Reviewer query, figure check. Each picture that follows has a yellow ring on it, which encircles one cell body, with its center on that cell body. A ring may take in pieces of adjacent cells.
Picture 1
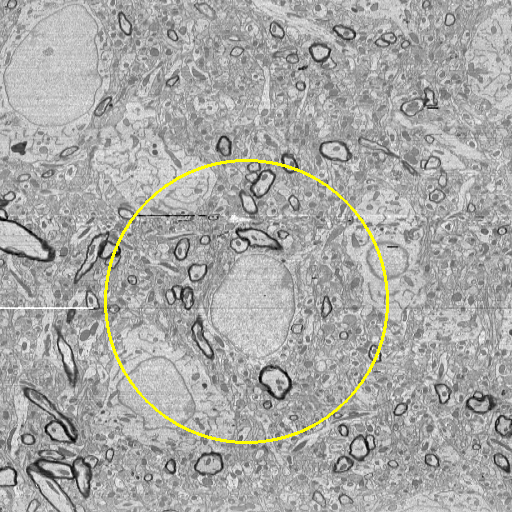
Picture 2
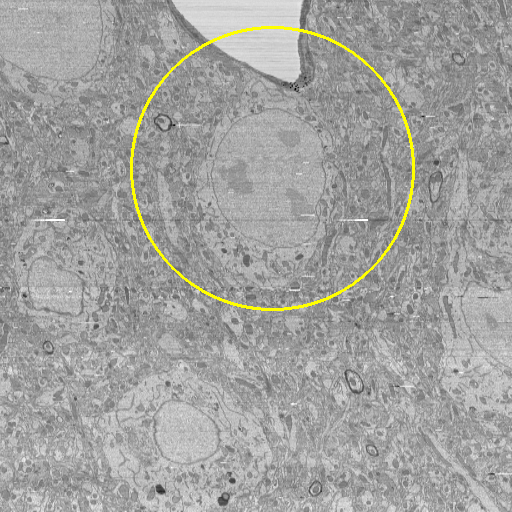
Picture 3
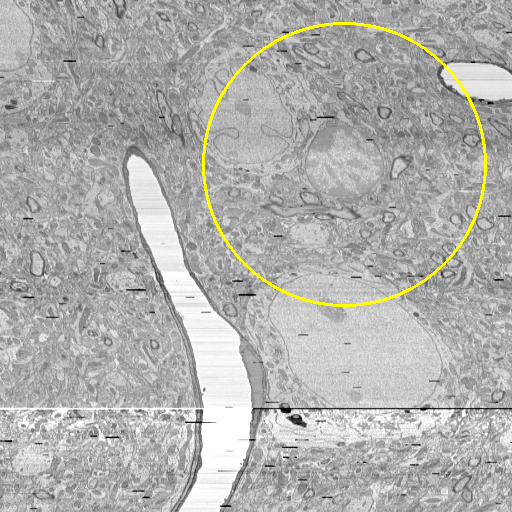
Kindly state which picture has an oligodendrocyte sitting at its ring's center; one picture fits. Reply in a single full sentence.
In picture 3, the cell at the center of the ring is the requested one.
